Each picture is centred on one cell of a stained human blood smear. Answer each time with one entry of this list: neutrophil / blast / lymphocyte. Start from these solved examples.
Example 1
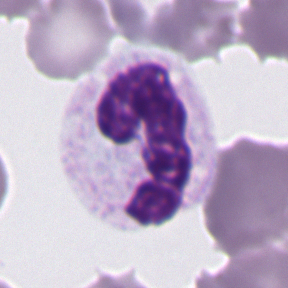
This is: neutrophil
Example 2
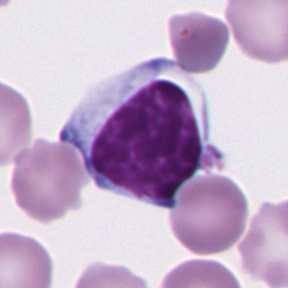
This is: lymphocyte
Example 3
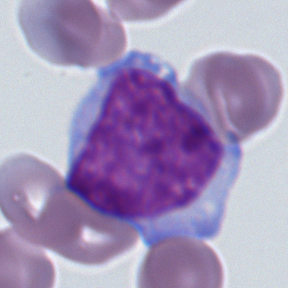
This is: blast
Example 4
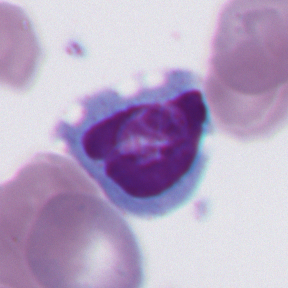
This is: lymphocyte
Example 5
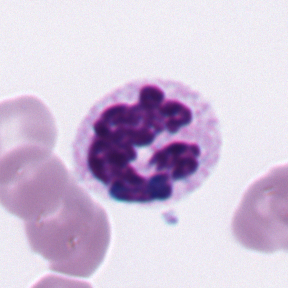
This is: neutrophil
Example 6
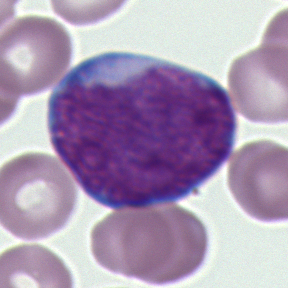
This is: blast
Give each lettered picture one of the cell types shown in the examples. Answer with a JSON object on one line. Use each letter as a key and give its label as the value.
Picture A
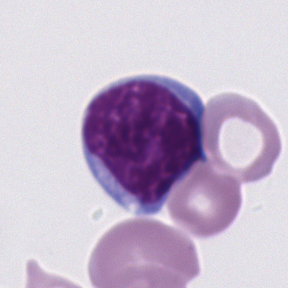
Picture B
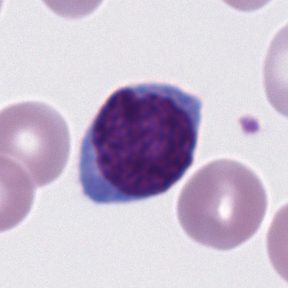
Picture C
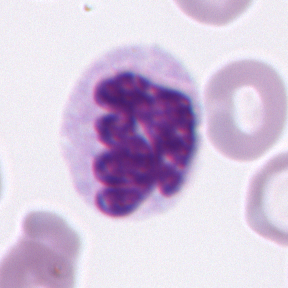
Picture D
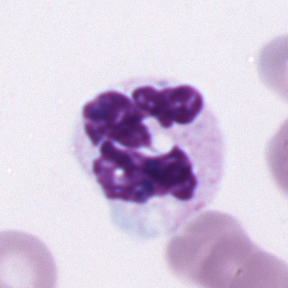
{"A": "lymphocyte", "B": "lymphocyte", "C": "neutrophil", "D": "neutrophil"}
